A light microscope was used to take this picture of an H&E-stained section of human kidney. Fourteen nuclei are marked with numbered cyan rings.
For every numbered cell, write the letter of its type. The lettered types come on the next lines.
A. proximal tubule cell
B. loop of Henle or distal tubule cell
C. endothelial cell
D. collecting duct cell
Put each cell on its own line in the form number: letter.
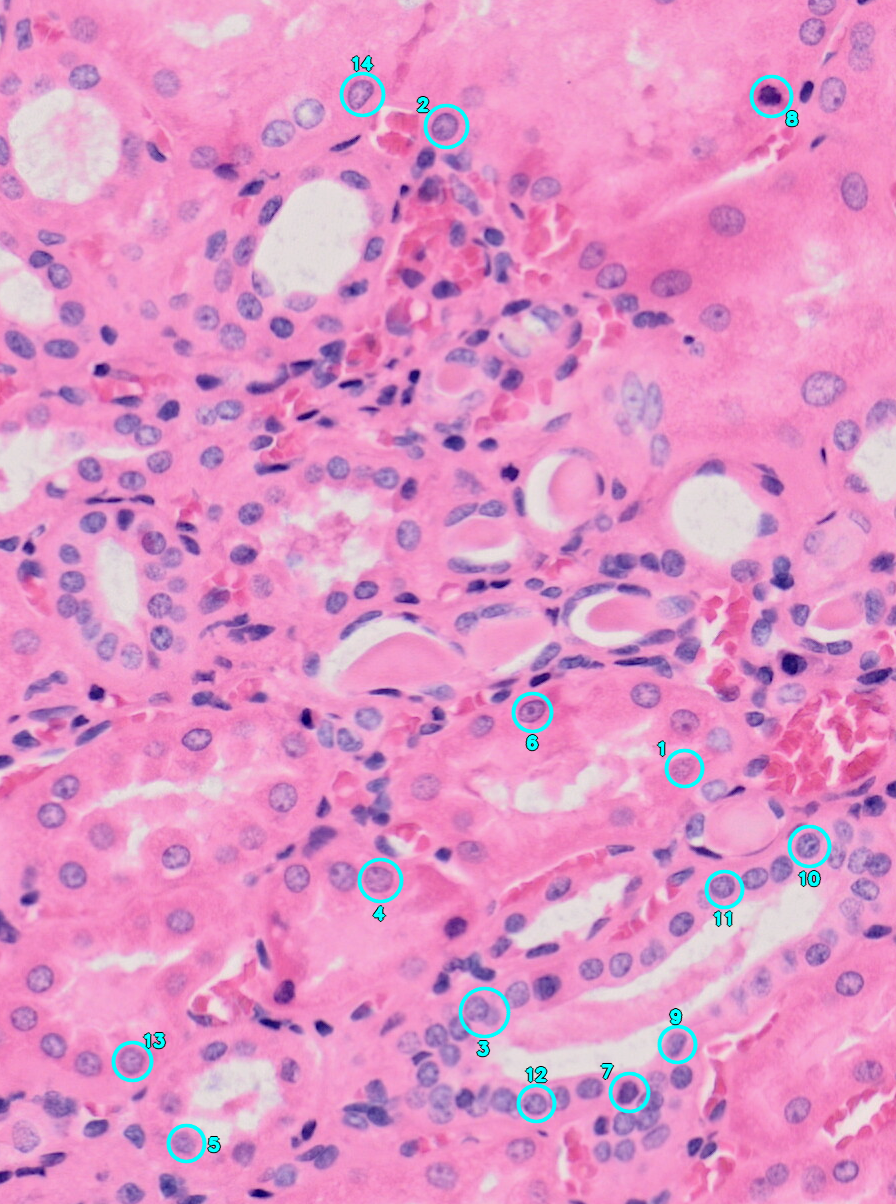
1: A
2: A
3: D
4: A
5: B
6: A
7: D
8: A
9: D
10: D
11: D
12: D
13: A
14: A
